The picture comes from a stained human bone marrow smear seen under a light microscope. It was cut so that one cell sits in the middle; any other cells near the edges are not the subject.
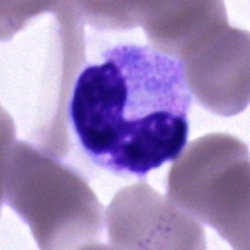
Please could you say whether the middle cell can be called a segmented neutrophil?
yes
